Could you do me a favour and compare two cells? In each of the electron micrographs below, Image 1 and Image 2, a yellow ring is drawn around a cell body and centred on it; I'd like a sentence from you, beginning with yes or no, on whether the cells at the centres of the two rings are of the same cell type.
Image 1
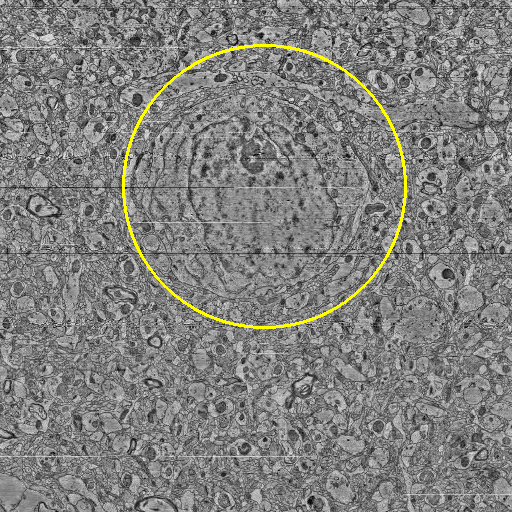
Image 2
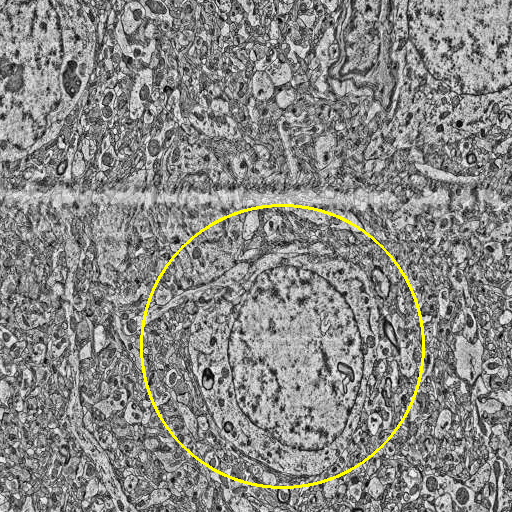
No, the two cells are of two cell types.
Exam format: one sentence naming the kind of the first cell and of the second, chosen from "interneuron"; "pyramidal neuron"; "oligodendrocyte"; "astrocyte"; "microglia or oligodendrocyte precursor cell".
The first picture's cell is an interneuron, and the second picture's cell is a pyramidal neuron.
